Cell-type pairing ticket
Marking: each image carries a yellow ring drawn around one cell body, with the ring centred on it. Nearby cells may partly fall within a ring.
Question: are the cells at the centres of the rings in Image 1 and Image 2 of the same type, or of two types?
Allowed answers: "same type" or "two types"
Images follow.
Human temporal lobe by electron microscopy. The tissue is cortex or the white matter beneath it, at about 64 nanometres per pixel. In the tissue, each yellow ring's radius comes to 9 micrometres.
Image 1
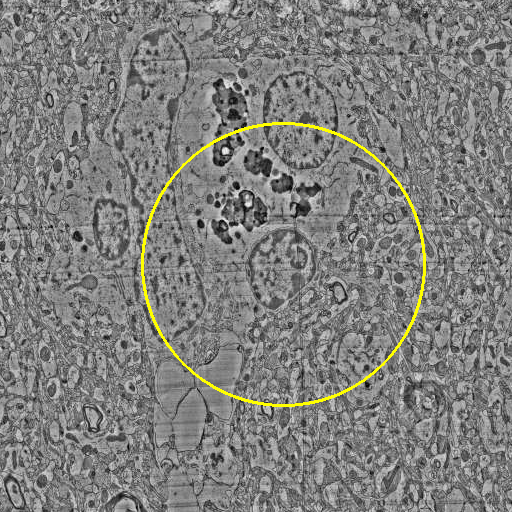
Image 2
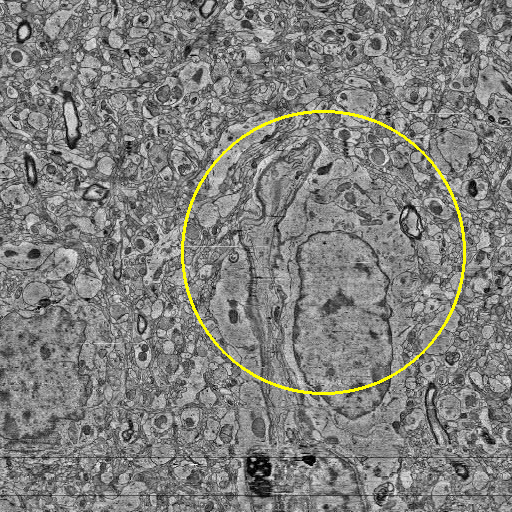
same type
